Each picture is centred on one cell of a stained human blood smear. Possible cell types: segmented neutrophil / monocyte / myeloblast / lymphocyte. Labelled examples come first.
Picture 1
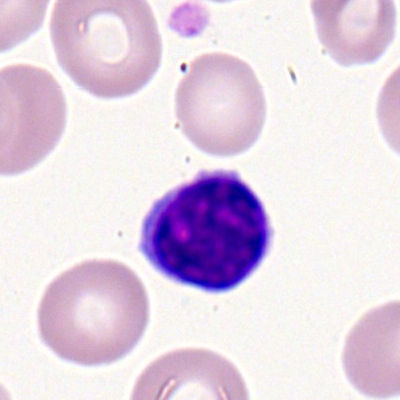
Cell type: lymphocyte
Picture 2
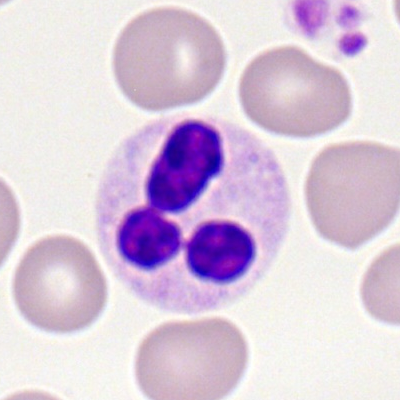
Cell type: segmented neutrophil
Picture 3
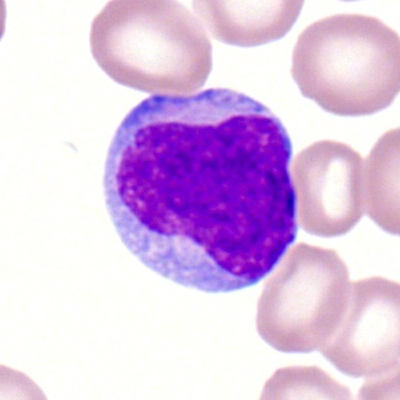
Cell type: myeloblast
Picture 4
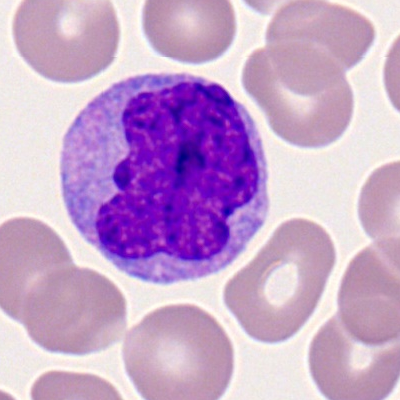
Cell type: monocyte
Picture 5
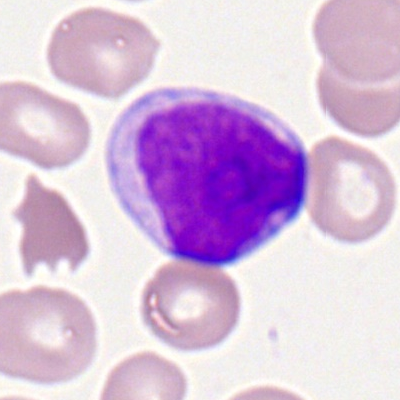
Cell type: myeloblast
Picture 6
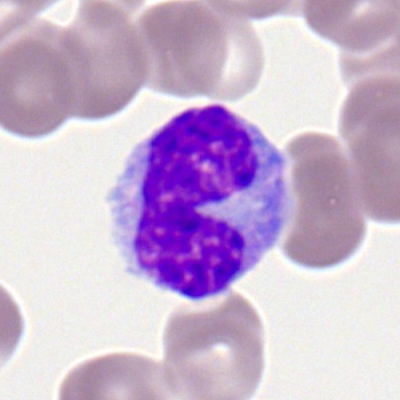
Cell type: monocyte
